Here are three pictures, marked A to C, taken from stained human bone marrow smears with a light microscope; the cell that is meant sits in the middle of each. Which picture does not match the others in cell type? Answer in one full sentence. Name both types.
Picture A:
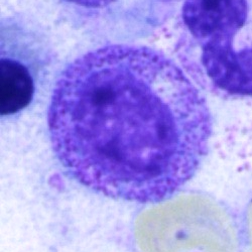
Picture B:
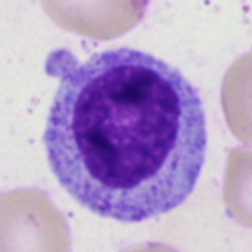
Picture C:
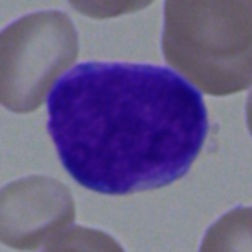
Picture C differs, because its cell is a blast and the rest are myelocytes.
